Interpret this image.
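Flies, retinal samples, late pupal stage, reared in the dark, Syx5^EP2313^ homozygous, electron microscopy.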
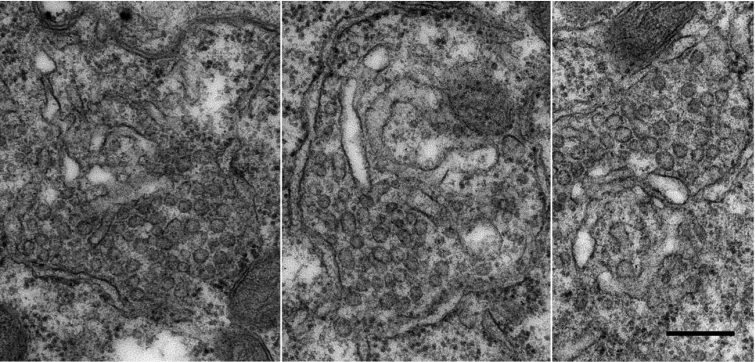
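Transmission electron micrographs of photoreceptor cytoplasm at high magnification, three fields side by side. No stack of flattened parallel cisternae is seen. The background cytoplasm is finely granular with many ribosome-like dots, and mitochondria with cristae appear at the edges of the fields.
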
